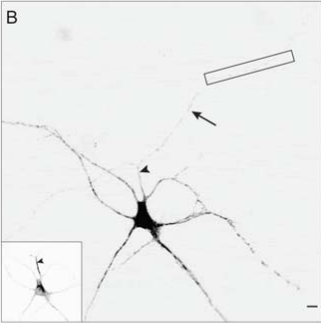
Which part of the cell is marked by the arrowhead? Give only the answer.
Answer: Axon initial segment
